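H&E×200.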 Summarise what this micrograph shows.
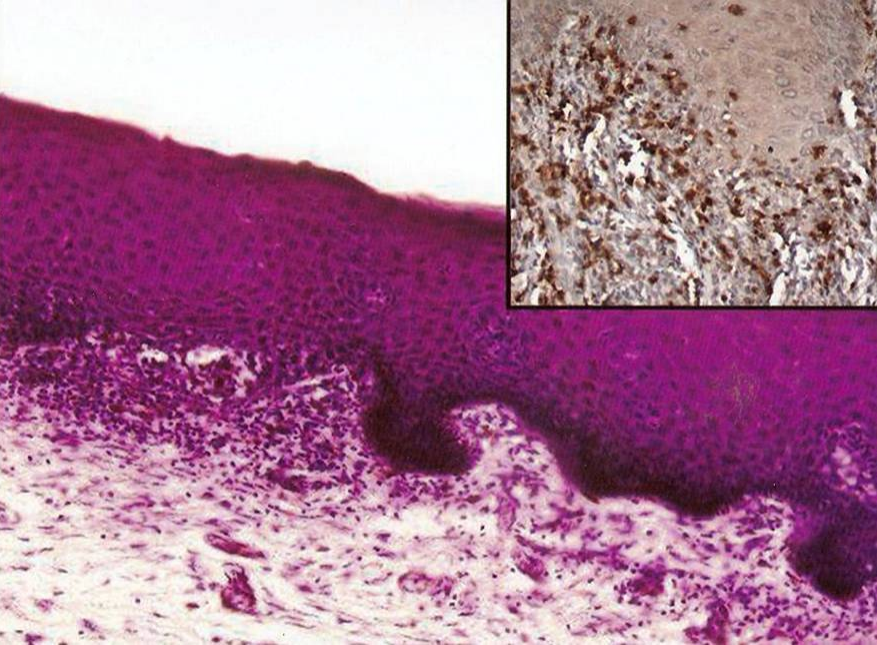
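A stratified squamous epithelium with purple-stained layers of polygonal cells sits over a loose, pale connective tissue, with a dense band of small round dark cells crowded right at the interface between the two. Rete ridges dip down into the connective tissue as dark bulbous projections. Where the band of small cells is thickest, on the left, the lower border of the epithelium is blurred, and no orderly basal cell row can be made out. Deeper down, the connective tissue is loose, with scattered spindle-shaped cells and small vessels. In the inset, at higher power, many small round cells stained brown are clustered along the junction, and a few lie within the pale epithelium itself. Together this is a band-like lymphocytic infiltrate with damage to the basal layer and lymphocytes passing into the epithelium.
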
